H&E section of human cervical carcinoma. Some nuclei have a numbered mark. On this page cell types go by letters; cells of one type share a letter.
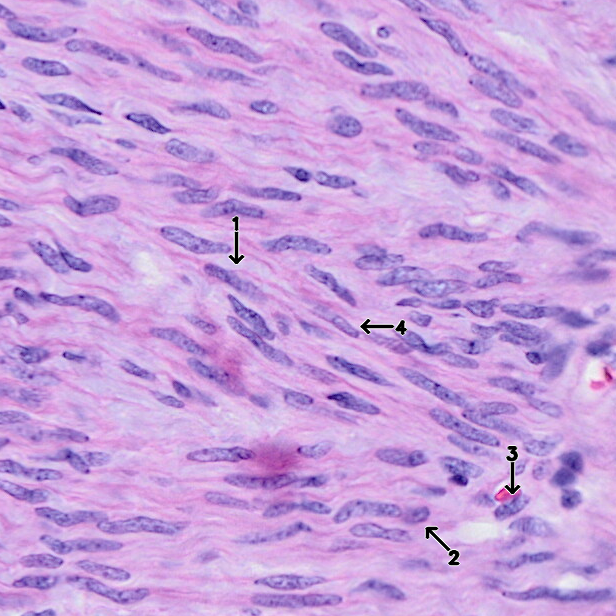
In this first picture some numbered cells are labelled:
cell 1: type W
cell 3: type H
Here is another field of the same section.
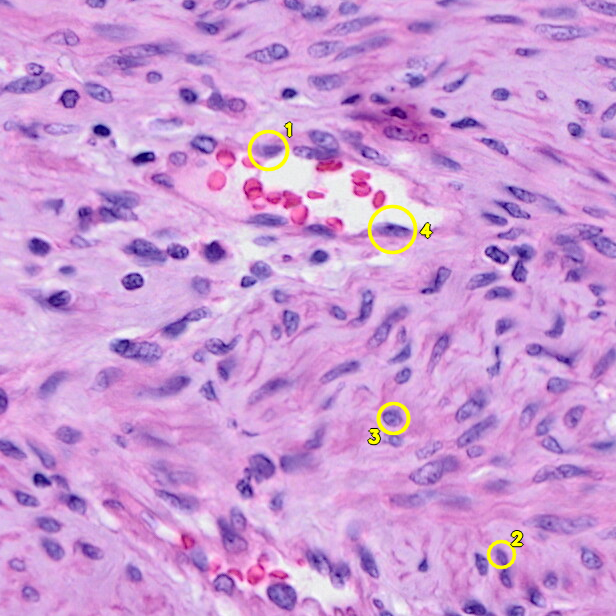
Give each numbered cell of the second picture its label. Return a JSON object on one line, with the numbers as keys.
{"1": "type H", "2": "type W", "3": "type W", "4": "type H"}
